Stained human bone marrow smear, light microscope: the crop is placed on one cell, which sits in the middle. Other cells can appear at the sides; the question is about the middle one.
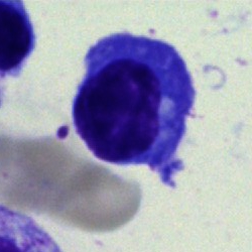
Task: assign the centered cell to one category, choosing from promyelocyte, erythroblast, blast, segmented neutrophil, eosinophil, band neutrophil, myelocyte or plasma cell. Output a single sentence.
The cell under consideration, at the middle of the crop, is a plasma cell.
